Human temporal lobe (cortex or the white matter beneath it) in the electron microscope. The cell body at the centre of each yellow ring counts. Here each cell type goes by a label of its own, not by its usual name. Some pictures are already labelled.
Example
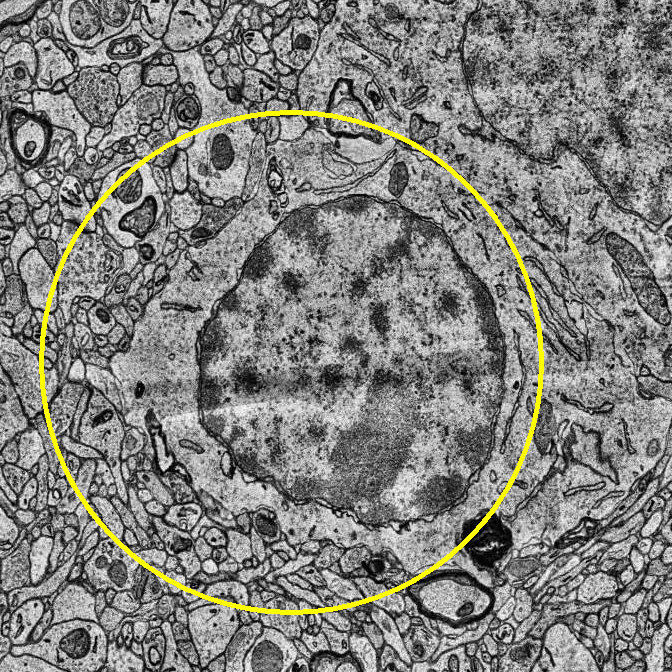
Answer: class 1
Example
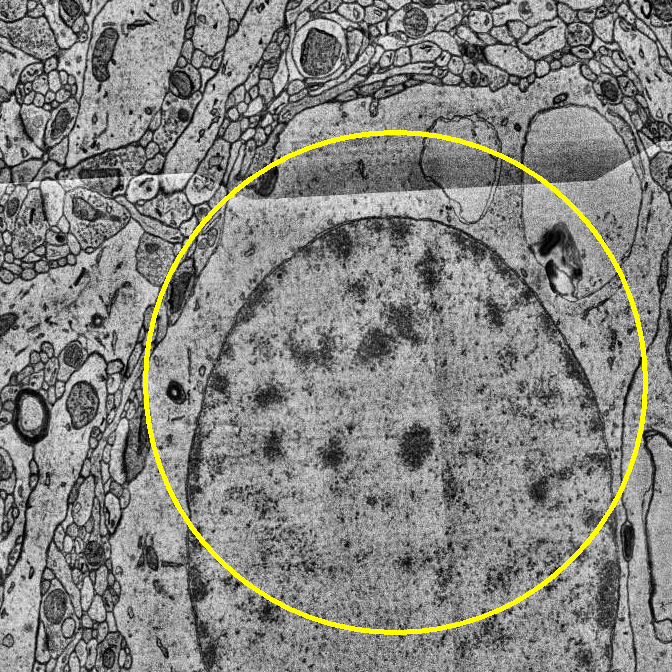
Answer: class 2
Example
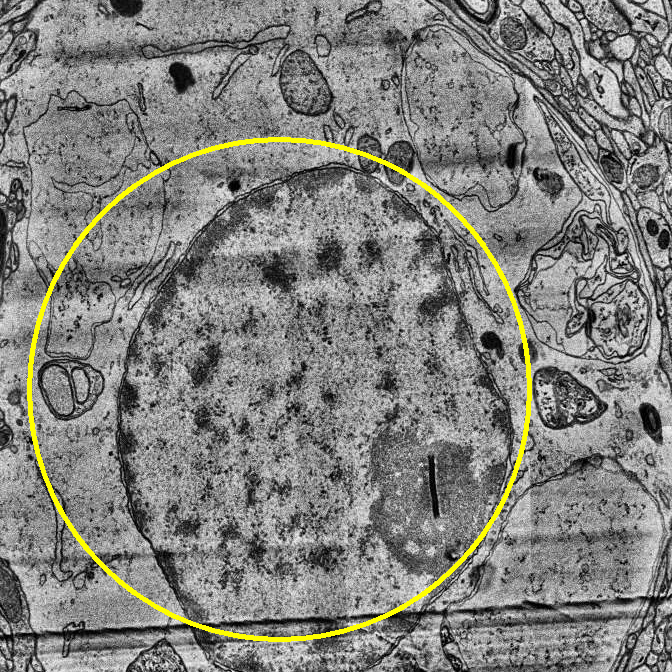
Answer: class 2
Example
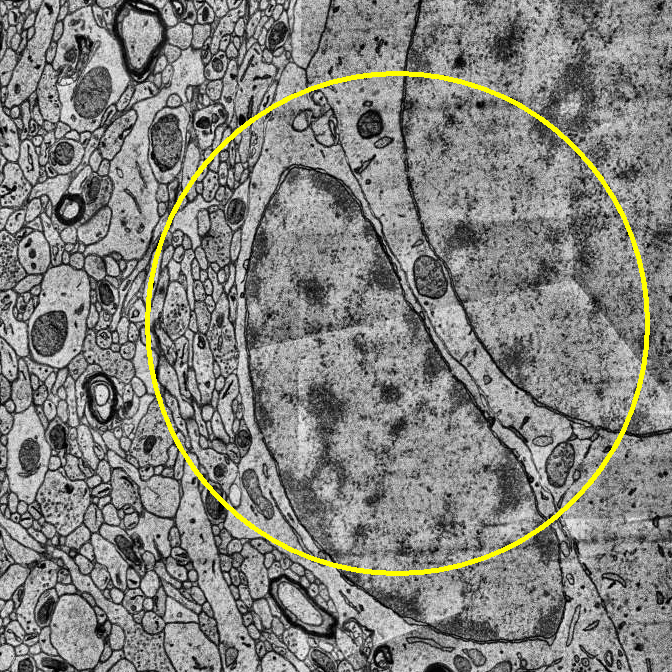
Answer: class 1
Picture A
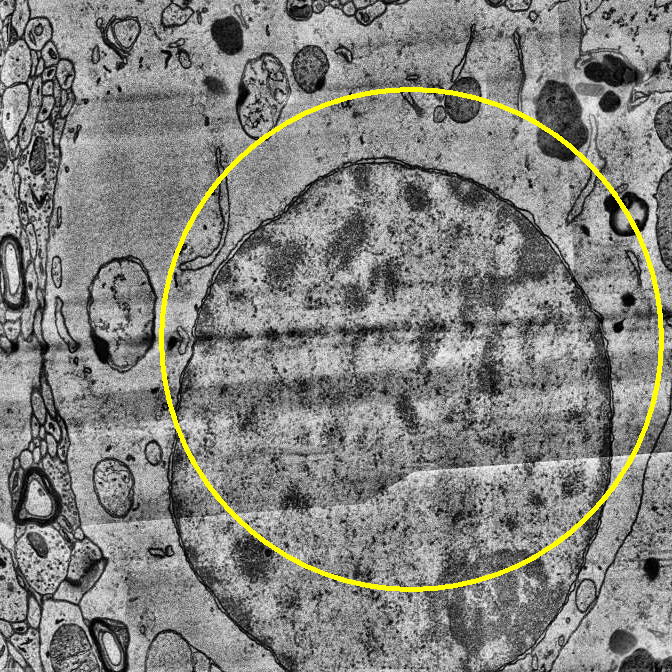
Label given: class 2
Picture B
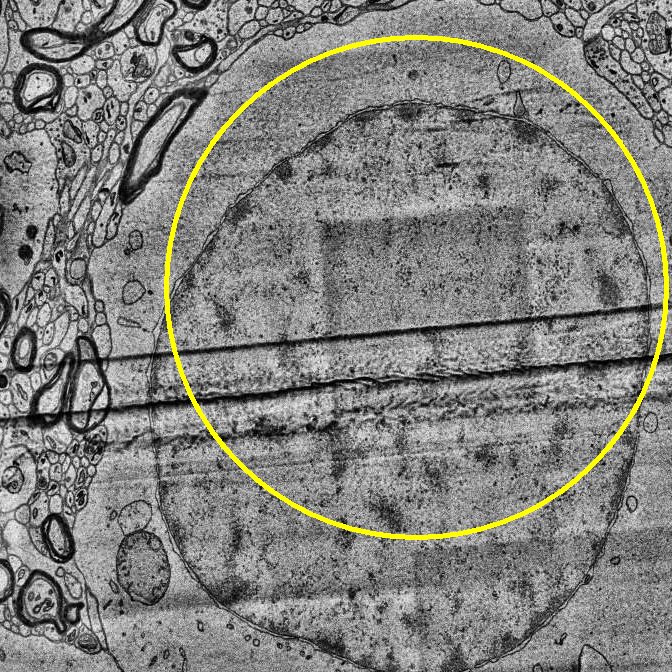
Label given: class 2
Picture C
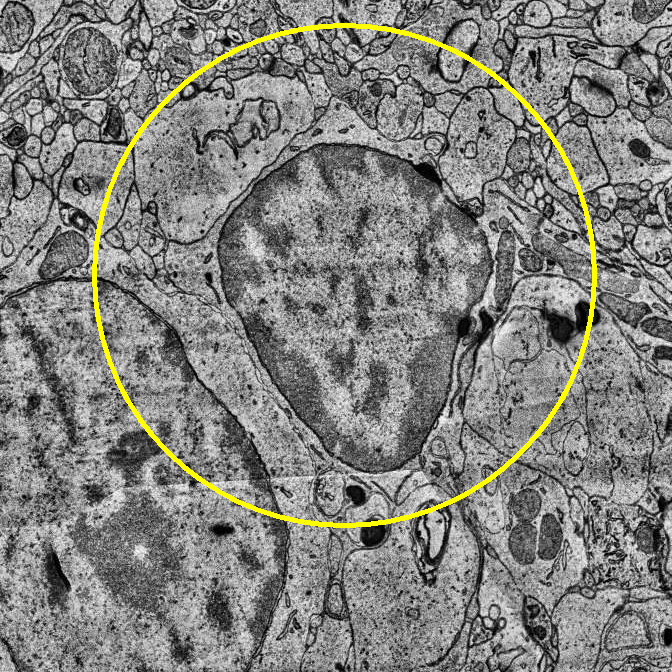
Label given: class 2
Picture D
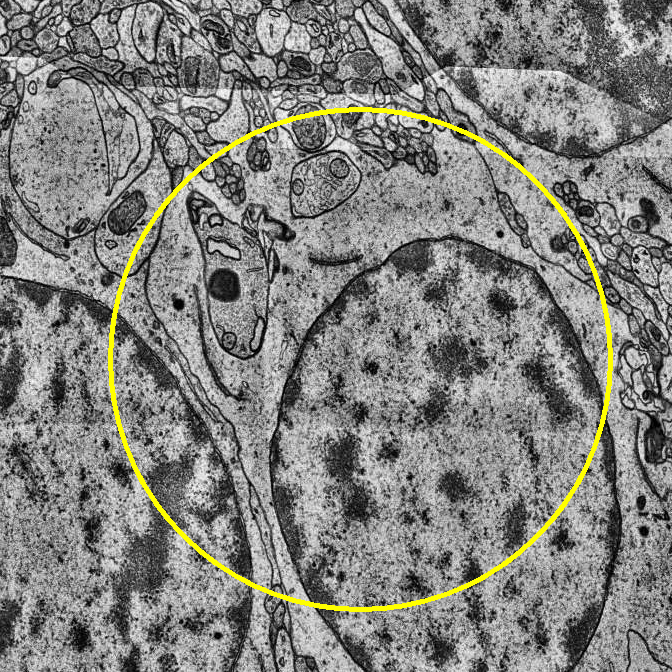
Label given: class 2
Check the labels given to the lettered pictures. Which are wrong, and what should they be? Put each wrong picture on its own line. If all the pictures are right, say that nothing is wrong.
Wrong: C (class 2); correct: class 1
